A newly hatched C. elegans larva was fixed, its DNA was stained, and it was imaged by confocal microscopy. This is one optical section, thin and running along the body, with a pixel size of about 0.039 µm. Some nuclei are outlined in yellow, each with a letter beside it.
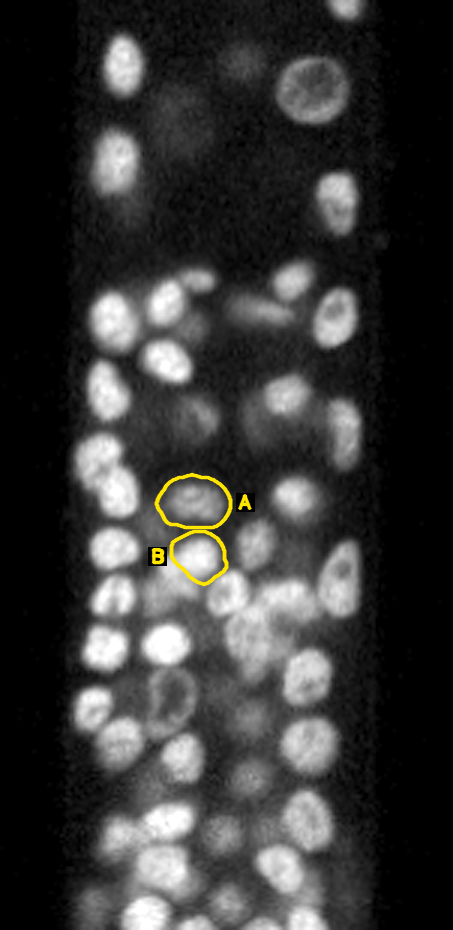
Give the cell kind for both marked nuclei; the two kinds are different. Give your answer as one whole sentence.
A is the nucleus of a pharyngeal muscle cell; B is the nucleus of a neuron.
